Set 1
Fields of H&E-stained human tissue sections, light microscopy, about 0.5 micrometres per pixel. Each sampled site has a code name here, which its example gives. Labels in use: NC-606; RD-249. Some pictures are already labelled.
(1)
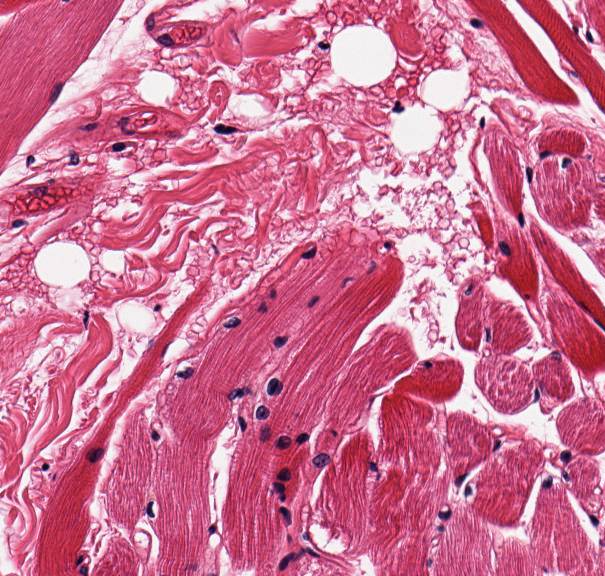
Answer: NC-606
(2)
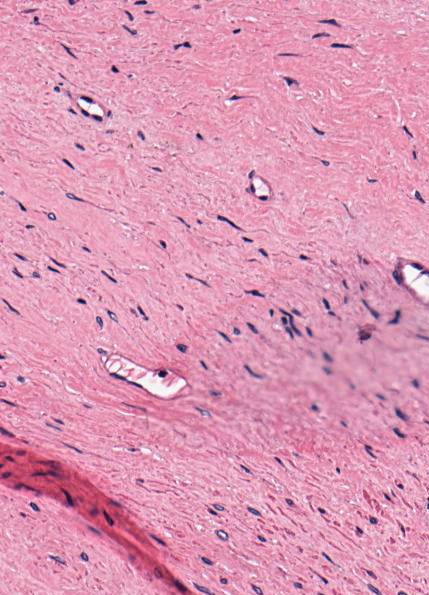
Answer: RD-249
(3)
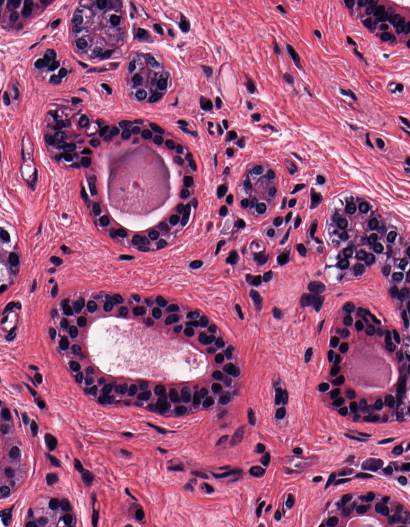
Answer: NC-606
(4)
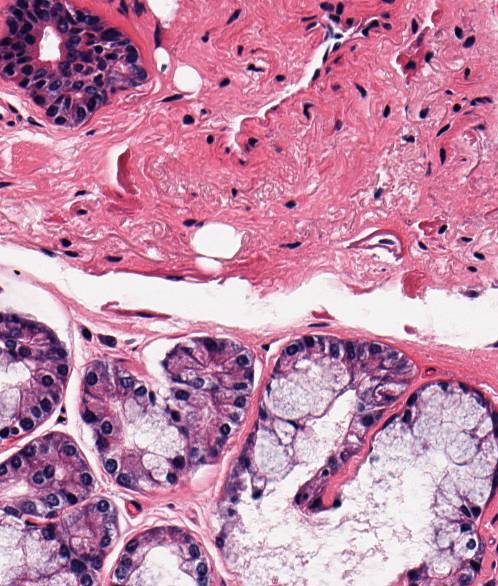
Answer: NC-606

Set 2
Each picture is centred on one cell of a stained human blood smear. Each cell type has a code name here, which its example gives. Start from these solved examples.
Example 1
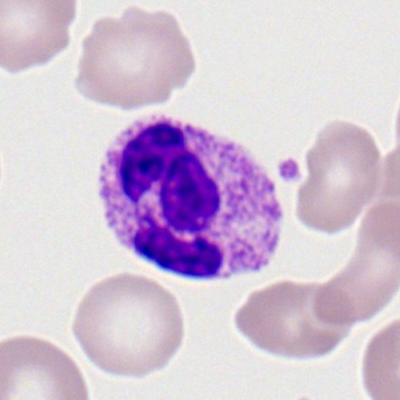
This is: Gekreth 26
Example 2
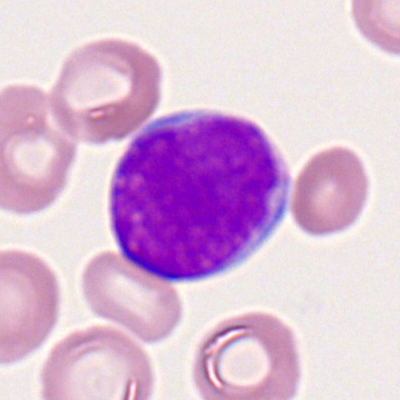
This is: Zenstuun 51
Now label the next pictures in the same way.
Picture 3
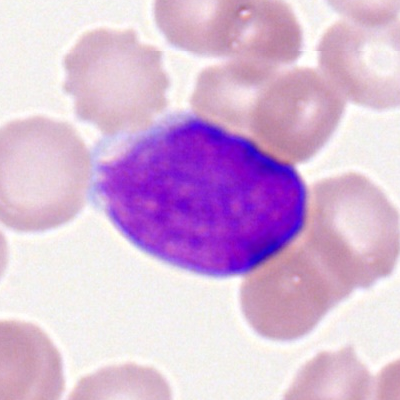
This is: Zenstuun 51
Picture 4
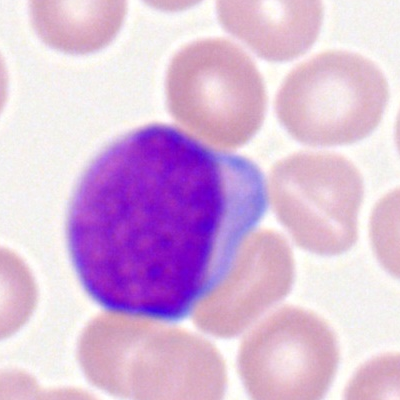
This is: Zenstuun 51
